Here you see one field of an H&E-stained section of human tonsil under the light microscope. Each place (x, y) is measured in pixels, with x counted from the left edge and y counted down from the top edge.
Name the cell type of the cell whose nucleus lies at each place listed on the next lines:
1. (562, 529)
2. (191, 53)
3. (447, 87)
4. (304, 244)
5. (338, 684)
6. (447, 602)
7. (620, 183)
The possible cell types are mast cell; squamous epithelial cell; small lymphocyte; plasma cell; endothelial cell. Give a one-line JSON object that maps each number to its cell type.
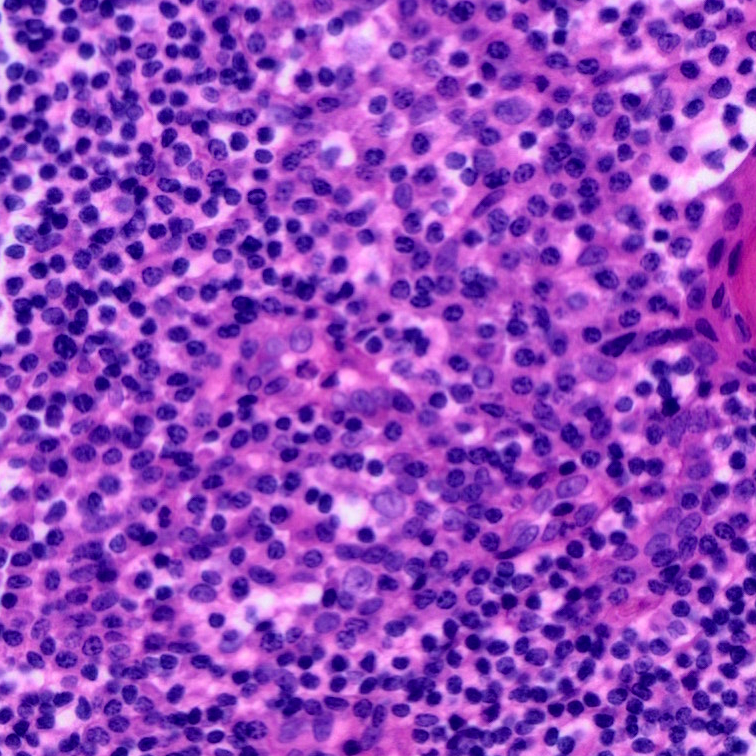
{"1": "endothelial cell", "2": "small lymphocyte", "3": "plasma cell", "4": "plasma cell", "5": "small lymphocyte", "6": "plasma cell", "7": "plasma cell"}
